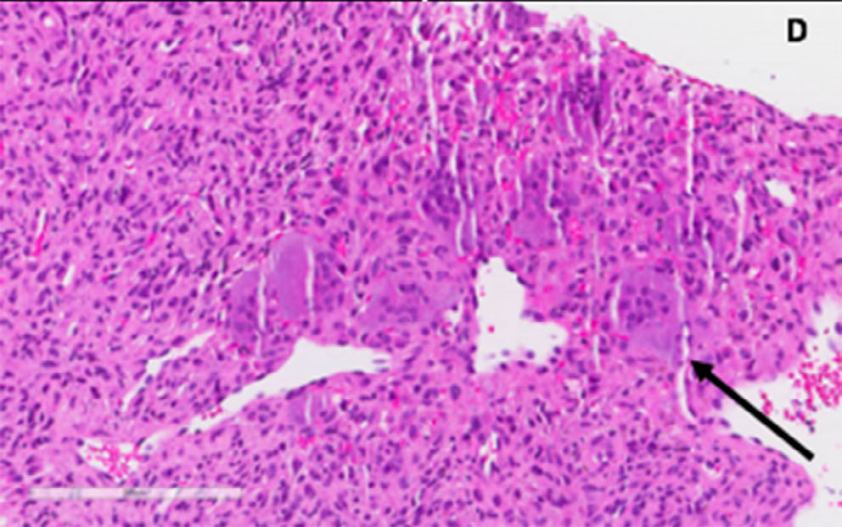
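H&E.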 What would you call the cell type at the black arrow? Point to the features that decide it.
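Multinucleated giant cells. These large cells hold several dark nuclei each. The arrow points to one of these large pink cells.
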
